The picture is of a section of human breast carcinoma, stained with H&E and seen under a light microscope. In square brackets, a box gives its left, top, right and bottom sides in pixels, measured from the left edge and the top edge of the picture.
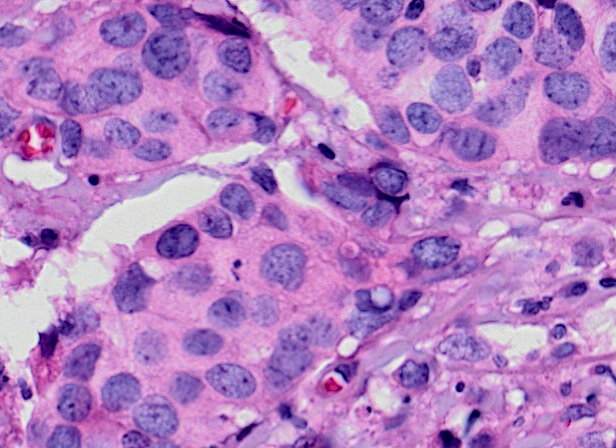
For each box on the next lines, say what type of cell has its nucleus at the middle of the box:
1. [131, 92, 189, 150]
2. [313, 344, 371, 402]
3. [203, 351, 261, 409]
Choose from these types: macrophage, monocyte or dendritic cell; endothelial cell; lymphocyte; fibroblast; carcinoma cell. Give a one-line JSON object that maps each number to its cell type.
{"1": "carcinoma cell", "2": "endothelial cell", "3": "carcinoma cell"}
